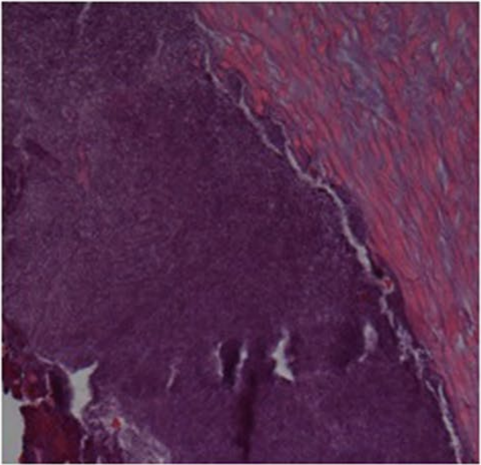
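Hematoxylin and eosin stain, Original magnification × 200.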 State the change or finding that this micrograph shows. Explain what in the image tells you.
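A large dense dark blue-purple area fills most of the field. The dark area contrasts with pink-red fibrous tissue at the upper right.
Answer: deeply blue, basophilic appearance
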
